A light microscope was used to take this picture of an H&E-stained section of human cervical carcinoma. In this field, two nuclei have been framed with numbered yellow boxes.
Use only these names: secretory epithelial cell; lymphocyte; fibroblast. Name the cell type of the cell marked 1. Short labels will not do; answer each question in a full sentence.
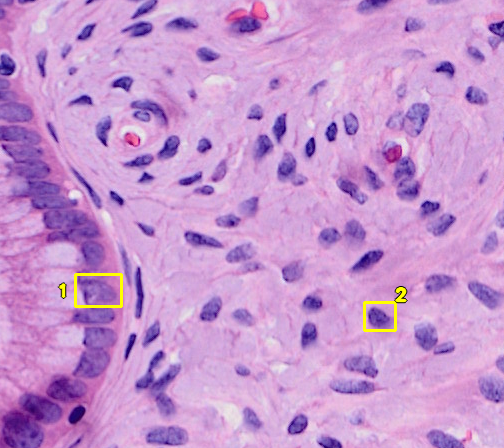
In this section, the cell tagged 1 is a secretory epithelial cell.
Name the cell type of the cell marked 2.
Cell 2 in the field is a fibroblast.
